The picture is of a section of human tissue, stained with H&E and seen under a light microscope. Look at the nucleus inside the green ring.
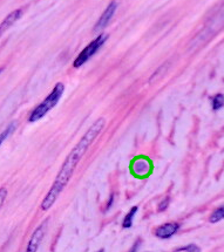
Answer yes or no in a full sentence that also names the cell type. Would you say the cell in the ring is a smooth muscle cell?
Yes, regarding cell type, the cell in the ring is a smooth muscle cell.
